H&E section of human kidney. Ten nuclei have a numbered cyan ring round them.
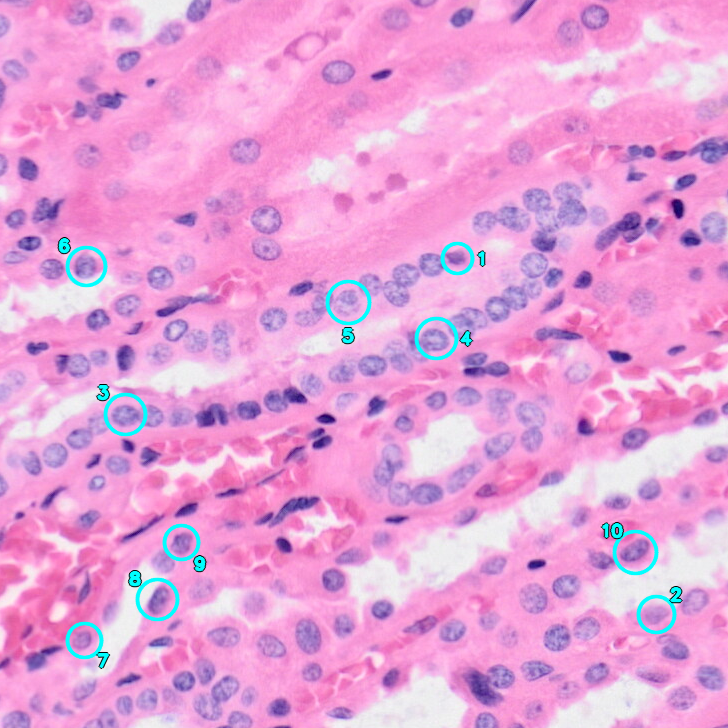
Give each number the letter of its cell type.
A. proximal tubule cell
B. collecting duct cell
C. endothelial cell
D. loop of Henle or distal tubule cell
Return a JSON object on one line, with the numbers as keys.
{"1": "B", "2": "D", "3": "B", "4": "B", "5": "B", "6": "D", "7": "D", "8": "D", "9": "D", "10": "D"}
